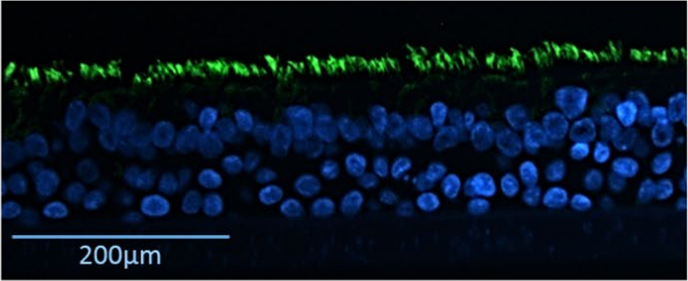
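Oval blue nuclei are crowded at several heights through the thickness of the layer, and a fringe of green hair-like cilia stands along the apical surface. The layer sits on a flat, dark support below.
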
